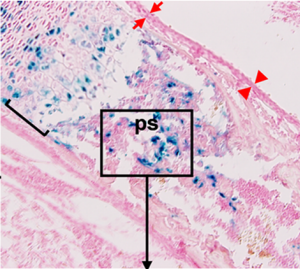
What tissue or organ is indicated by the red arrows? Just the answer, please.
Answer: Perichondrium.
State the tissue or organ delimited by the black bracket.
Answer: Hypertrophic zone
